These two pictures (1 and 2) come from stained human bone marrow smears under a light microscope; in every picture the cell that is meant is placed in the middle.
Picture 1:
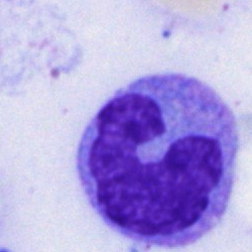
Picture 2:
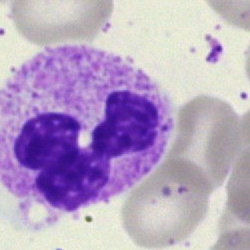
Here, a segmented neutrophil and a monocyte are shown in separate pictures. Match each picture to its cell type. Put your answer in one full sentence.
In picture 1 the cell is a monocyte; in picture 2, a segmented neutrophil.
